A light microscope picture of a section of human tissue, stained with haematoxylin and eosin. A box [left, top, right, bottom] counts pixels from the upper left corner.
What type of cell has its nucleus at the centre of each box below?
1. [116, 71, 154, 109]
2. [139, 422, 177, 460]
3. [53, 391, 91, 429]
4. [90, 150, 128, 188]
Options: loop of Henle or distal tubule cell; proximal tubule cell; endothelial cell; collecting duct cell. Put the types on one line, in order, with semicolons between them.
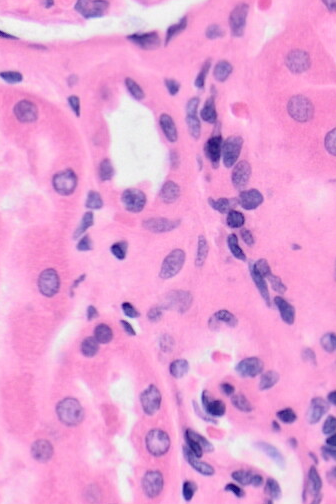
loop of Henle or distal tubule cell; proximal tubule cell; proximal tubule cell; loop of Henle or distal tubule cell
